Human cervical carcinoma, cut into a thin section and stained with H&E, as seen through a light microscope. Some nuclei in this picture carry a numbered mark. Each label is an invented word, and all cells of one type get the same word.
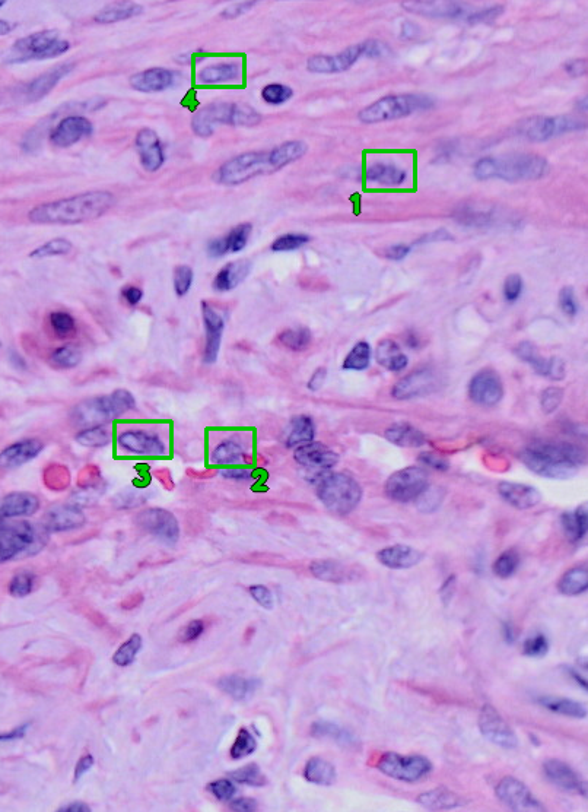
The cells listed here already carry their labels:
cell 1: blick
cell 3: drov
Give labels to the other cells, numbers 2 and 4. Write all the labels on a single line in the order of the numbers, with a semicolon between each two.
drov; blick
